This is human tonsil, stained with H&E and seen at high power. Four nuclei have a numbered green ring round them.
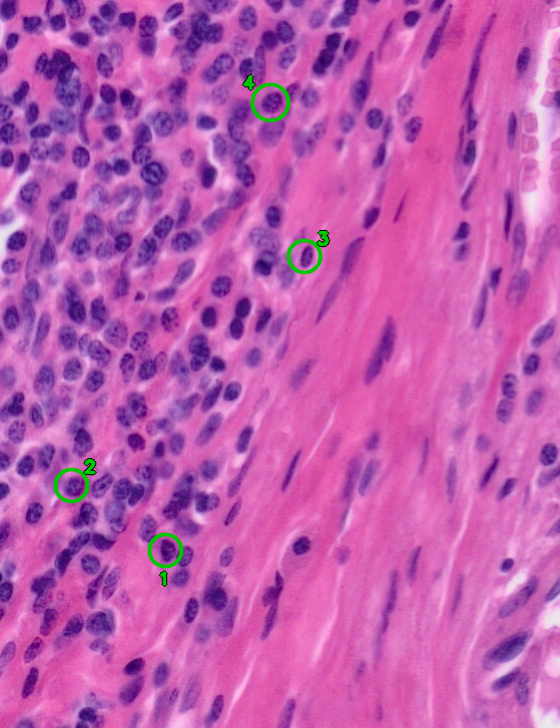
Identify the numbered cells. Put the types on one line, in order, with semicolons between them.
plasma cell; plasma cell; mast cell; plasma cell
